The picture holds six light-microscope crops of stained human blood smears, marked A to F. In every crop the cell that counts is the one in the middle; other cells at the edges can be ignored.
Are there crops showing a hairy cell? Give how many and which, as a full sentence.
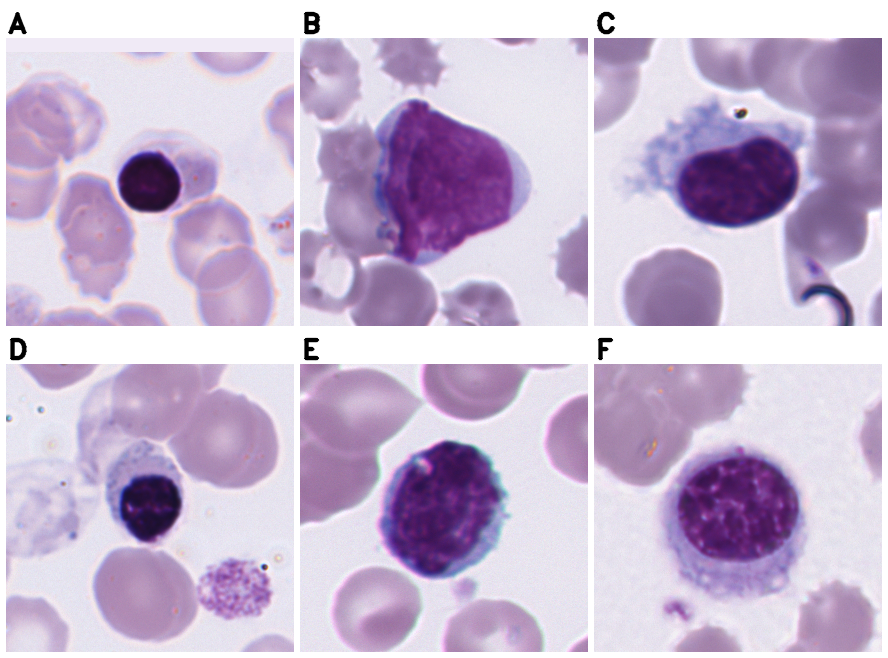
Among all the crops, just one shows a hairy cell, namely crop C.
